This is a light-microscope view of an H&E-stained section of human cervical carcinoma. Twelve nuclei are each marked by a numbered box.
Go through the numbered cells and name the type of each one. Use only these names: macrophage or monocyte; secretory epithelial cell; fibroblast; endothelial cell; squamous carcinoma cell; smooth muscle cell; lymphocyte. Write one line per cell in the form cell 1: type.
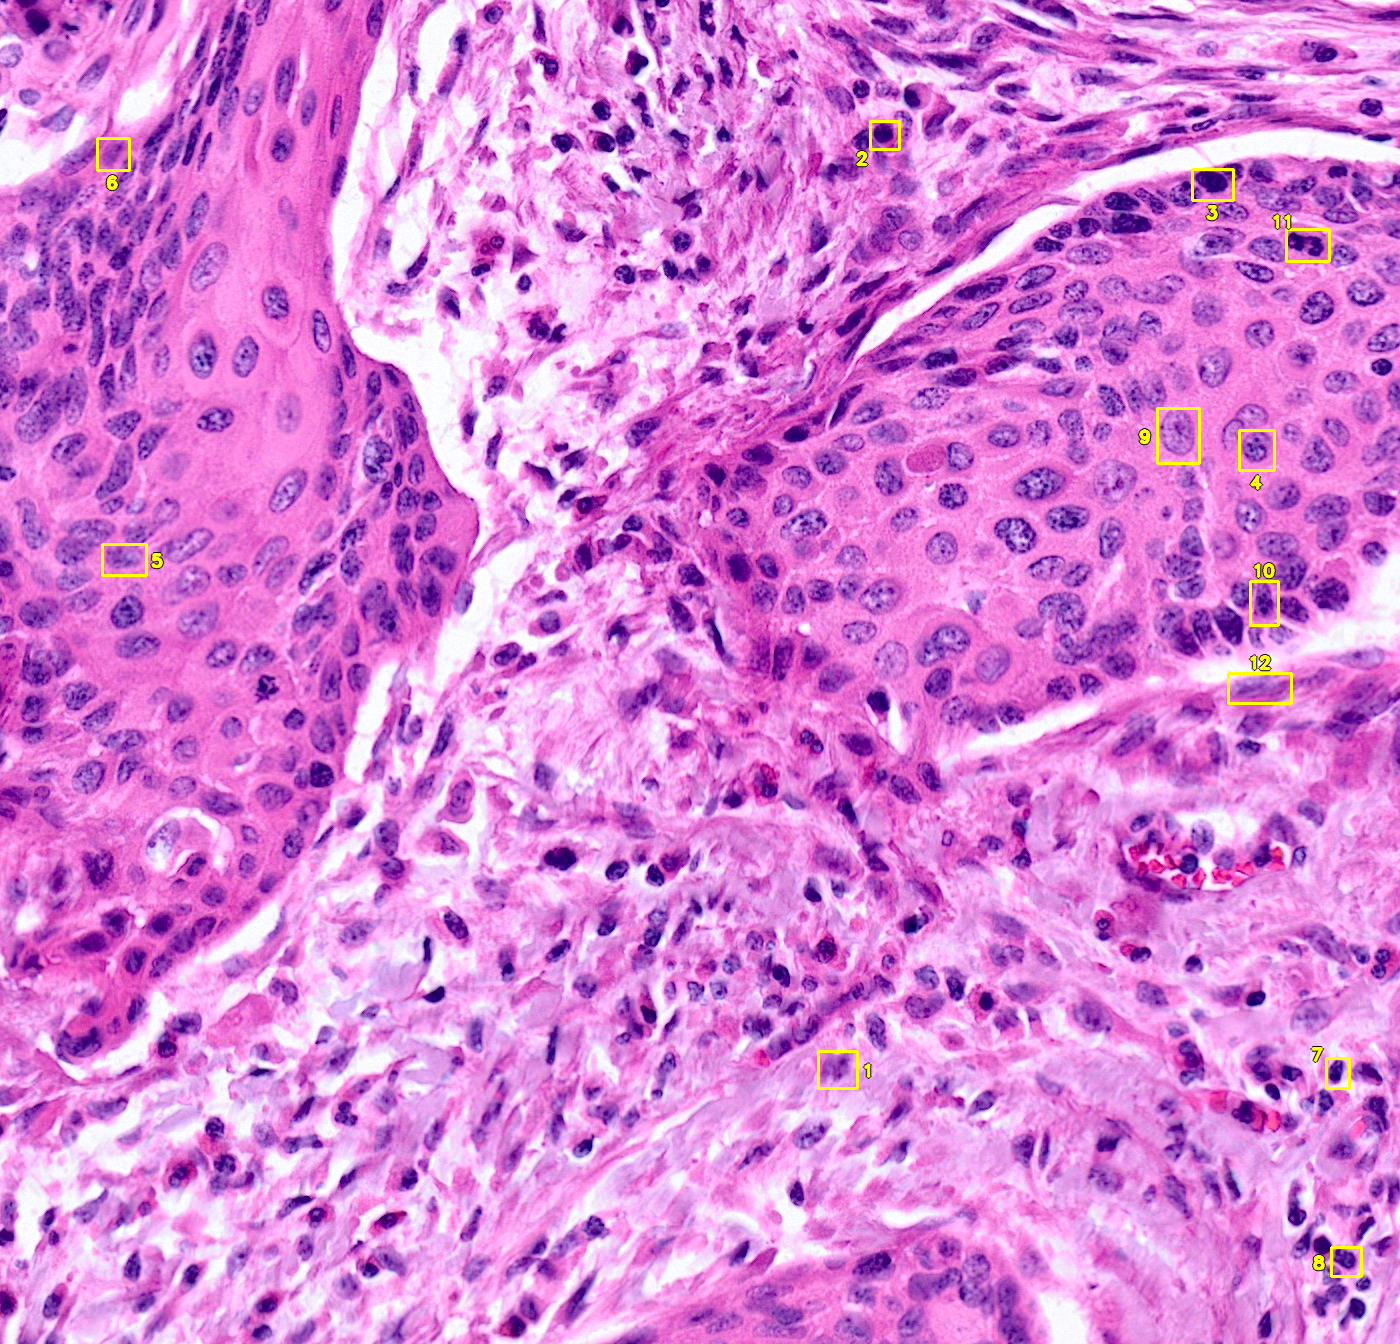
cell 1: fibroblast
cell 2: lymphocyte
cell 3: squamous carcinoma cell
cell 4: squamous carcinoma cell
cell 5: squamous carcinoma cell
cell 6: squamous carcinoma cell
cell 7: lymphocyte
cell 8: lymphocyte
cell 9: squamous carcinoma cell
cell 10: squamous carcinoma cell
cell 11: squamous carcinoma cell
cell 12: fibroblast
